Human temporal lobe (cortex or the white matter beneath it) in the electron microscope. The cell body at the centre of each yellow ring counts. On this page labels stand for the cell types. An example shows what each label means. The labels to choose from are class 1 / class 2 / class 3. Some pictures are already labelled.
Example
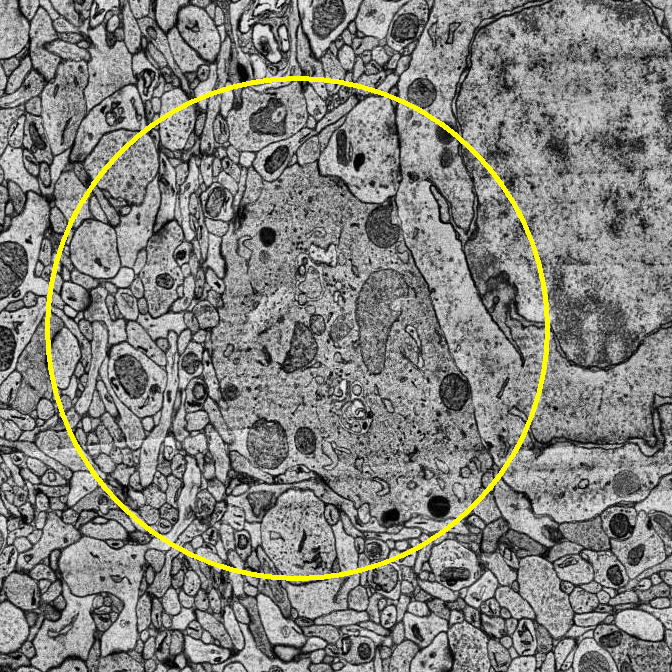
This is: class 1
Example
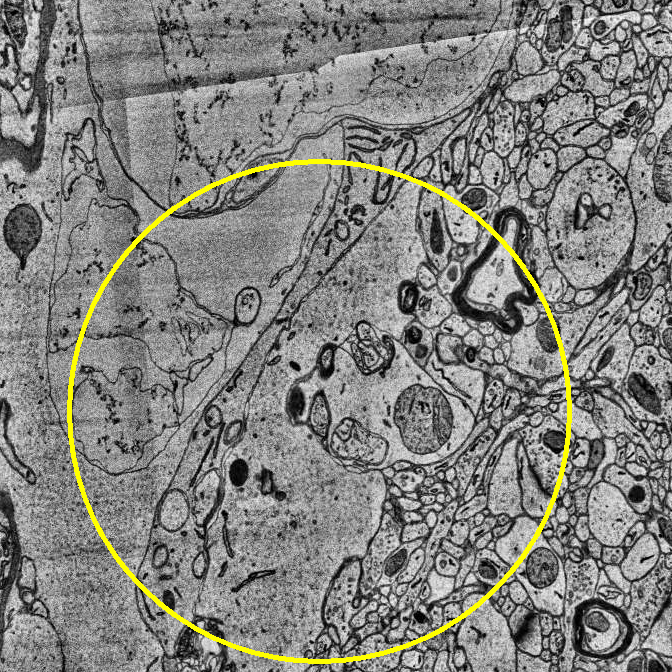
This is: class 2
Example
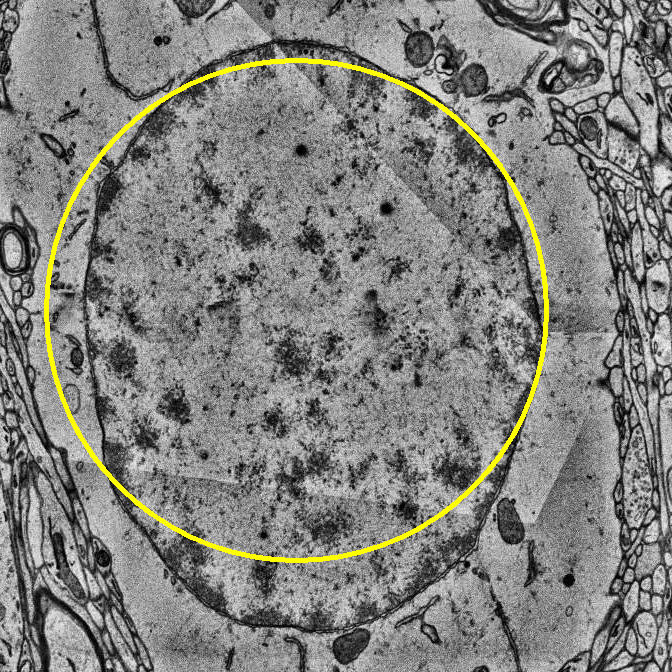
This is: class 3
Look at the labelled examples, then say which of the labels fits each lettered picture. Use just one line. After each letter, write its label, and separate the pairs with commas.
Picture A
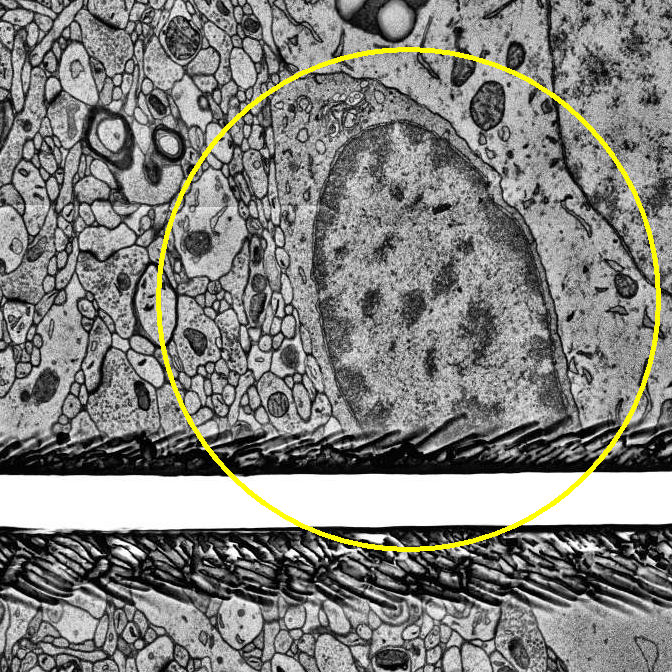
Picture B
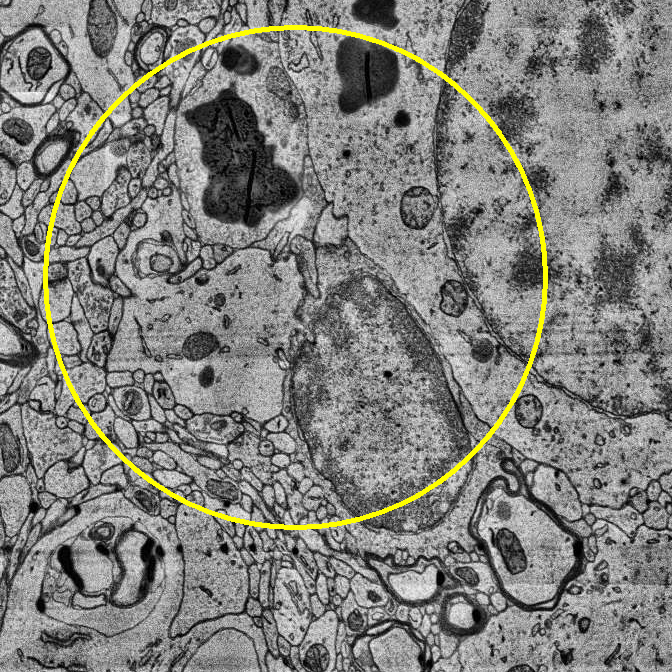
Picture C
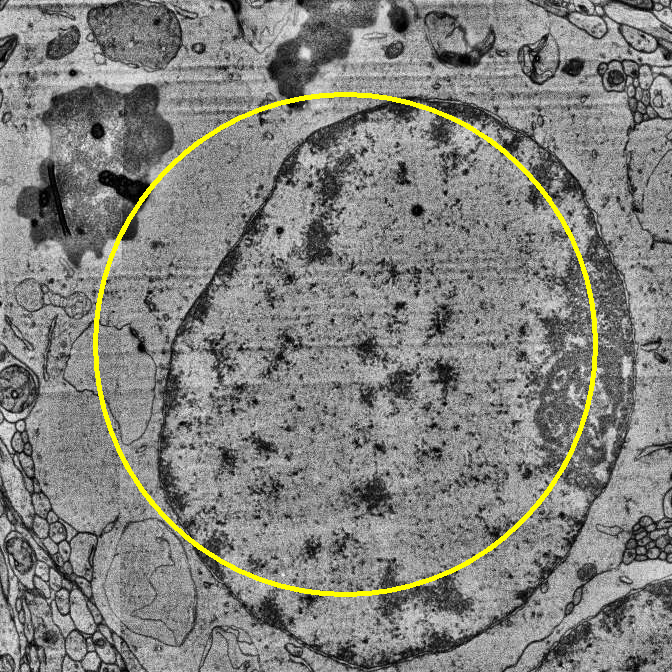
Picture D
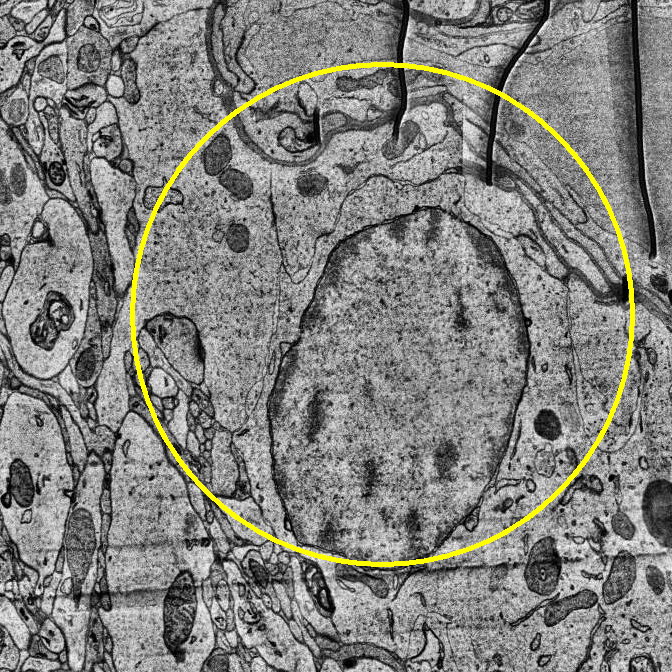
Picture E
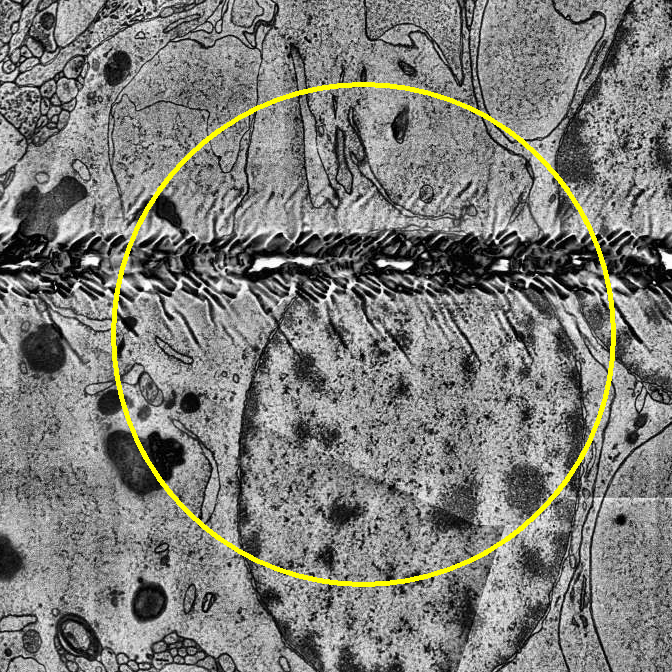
A class 1, B class 2, C class 3, D class 2, E class 3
